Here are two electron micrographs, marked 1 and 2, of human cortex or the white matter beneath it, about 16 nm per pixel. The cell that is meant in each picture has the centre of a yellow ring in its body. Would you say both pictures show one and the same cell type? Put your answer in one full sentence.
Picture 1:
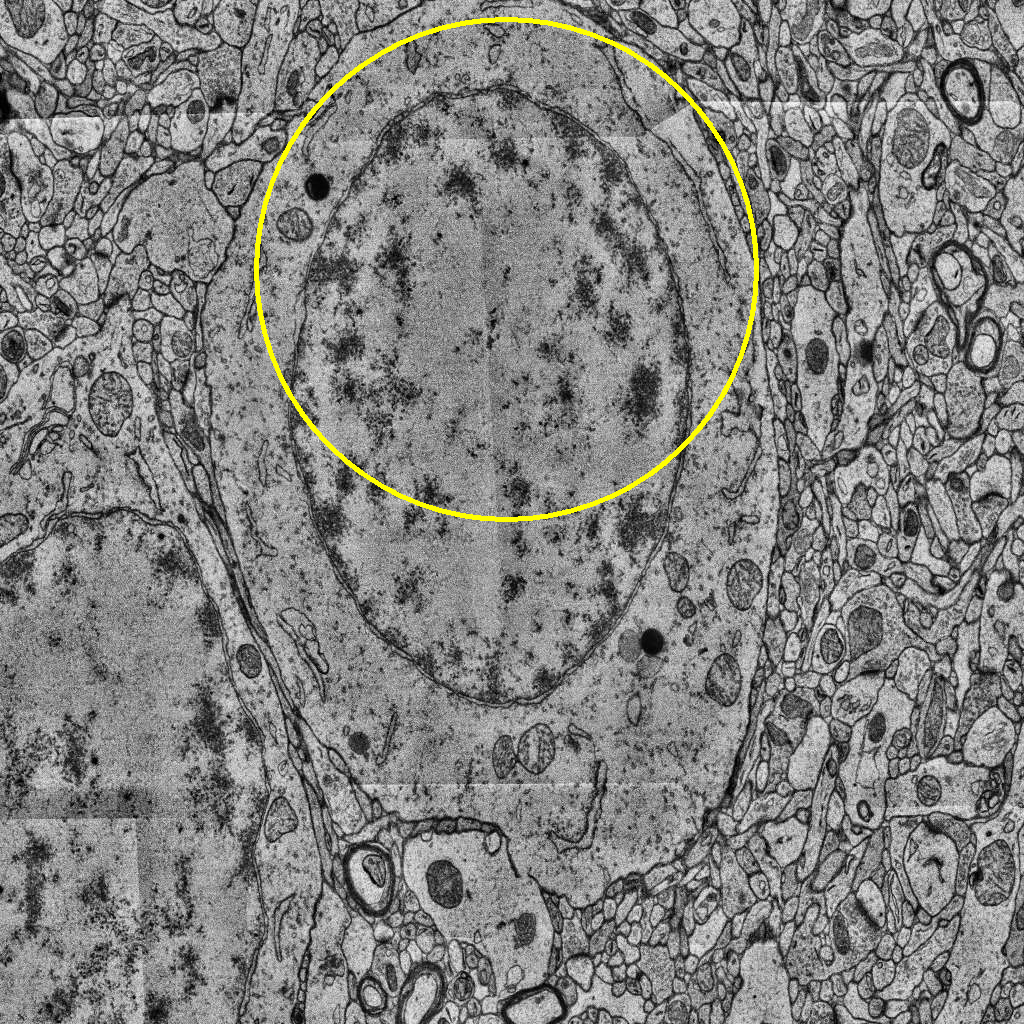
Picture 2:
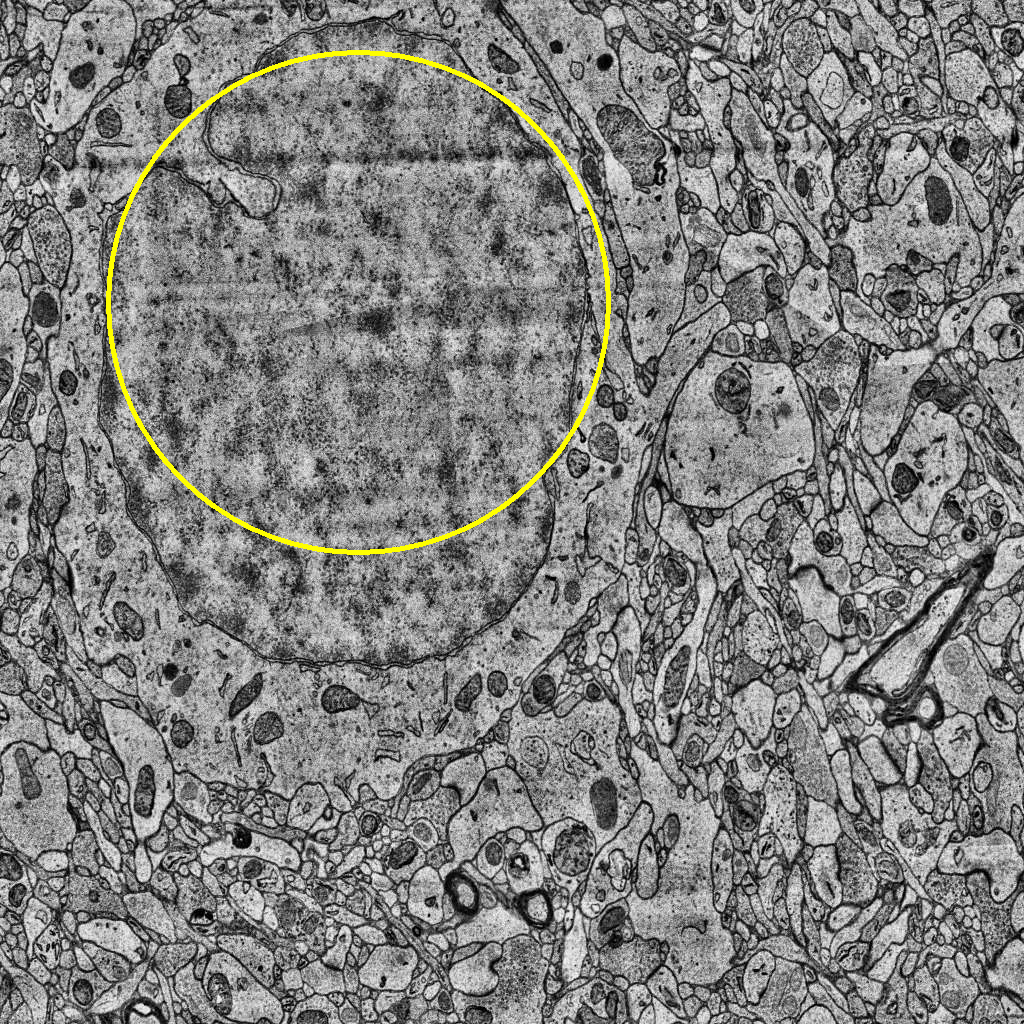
No; the cell in picture 1 is a pyramidal neuron, while the one in picture 2 is an interneuron.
